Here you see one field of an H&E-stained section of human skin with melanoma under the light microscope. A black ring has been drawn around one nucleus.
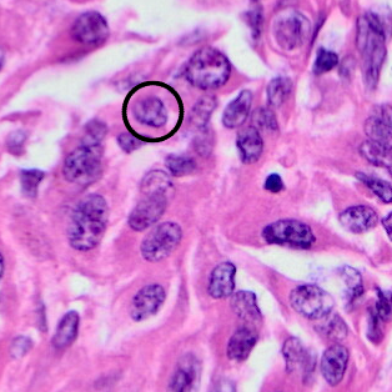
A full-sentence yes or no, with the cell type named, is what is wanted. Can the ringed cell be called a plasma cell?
No, the ringed cell is not a plasma cell; the correct answer is a melanoma cell.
